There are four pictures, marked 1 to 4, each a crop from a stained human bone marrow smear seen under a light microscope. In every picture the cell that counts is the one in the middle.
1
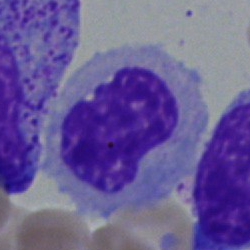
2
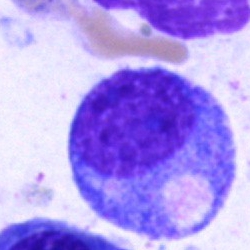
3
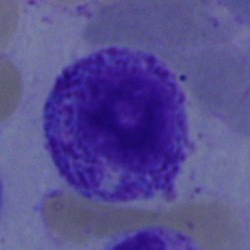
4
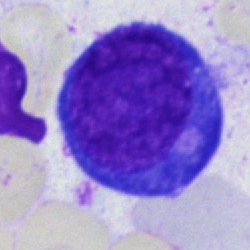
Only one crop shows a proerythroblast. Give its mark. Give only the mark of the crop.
4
